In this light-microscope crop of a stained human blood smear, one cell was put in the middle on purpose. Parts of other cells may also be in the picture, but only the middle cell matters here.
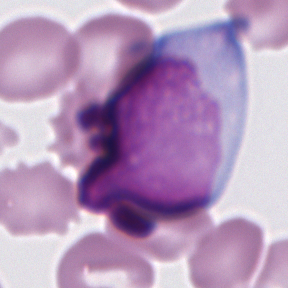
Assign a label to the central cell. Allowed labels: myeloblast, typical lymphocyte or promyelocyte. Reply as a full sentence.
What sits at the centre of this crop is a myeloblast.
